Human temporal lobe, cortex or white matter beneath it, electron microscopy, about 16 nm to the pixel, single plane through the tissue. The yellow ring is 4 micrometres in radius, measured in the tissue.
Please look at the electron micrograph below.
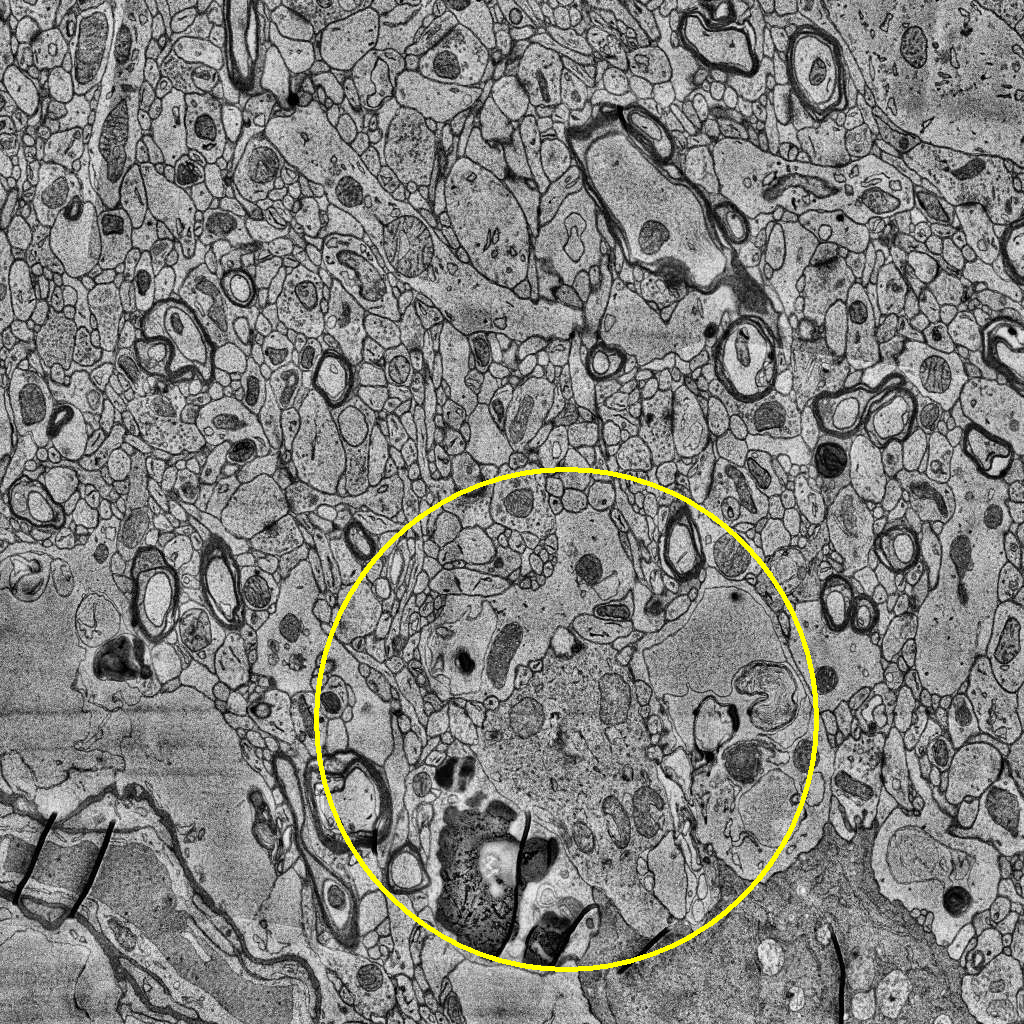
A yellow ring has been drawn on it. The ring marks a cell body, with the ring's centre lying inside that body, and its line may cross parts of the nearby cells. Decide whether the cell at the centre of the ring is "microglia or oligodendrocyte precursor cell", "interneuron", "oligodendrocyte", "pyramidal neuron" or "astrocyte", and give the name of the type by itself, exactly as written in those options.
oligodendrocyte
